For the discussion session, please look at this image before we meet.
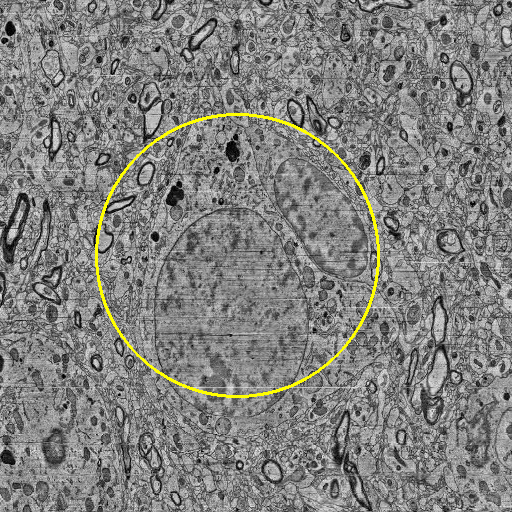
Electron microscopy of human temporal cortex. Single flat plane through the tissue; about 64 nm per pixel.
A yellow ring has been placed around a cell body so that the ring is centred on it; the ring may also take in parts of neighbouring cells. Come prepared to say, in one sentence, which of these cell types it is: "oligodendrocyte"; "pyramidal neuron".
The cell centred in the ring is a pyramidal neuron.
